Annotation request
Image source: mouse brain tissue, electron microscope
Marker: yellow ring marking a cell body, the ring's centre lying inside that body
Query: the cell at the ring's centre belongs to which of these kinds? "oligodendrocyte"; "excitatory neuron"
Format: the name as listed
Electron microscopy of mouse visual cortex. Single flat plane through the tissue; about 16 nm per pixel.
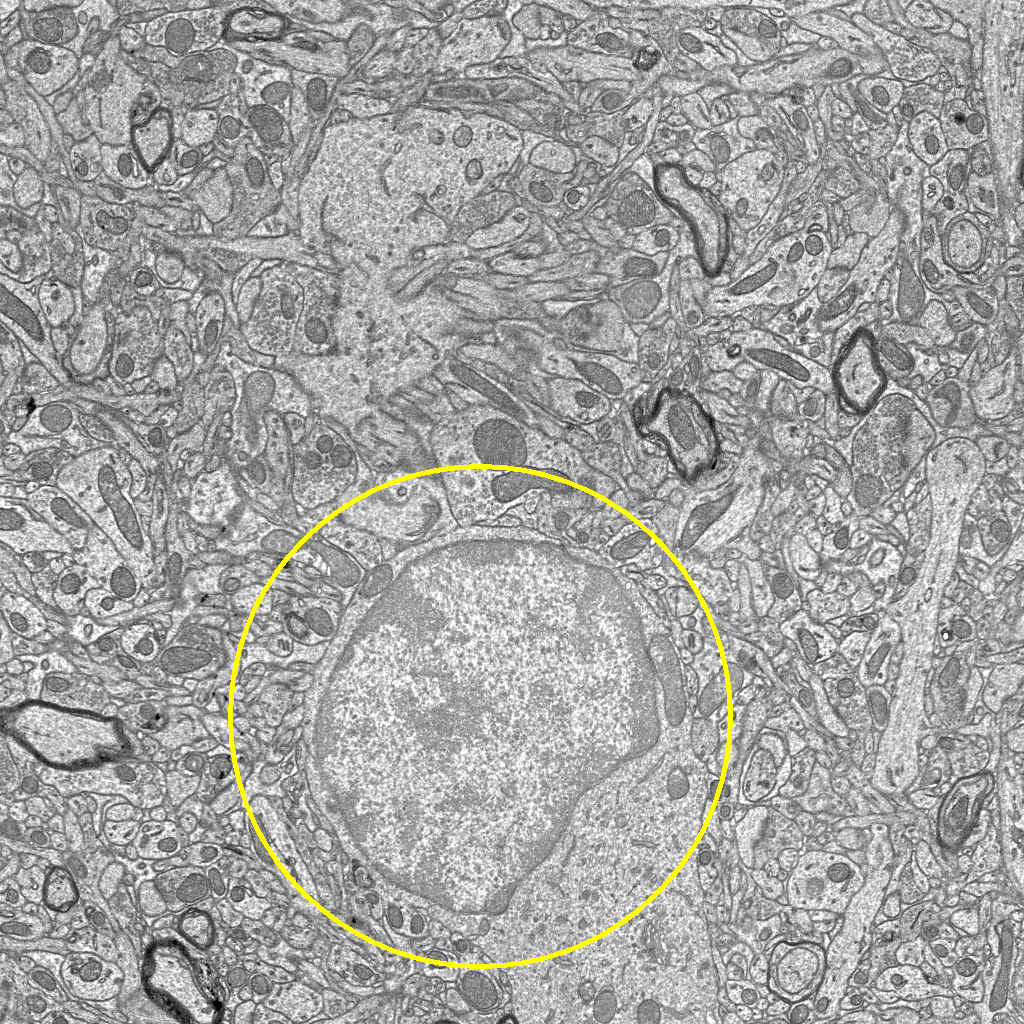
oligodendrocyte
